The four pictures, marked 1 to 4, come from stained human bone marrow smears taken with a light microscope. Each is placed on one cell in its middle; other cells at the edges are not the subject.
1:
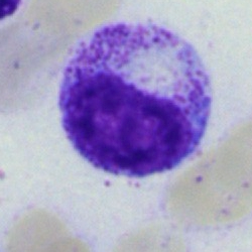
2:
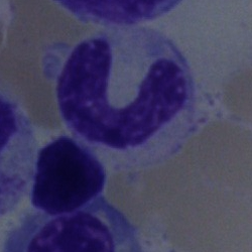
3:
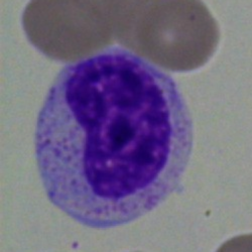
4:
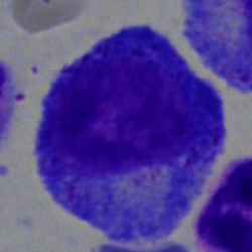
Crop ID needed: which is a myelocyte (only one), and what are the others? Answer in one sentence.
Centred in crop 1 is a myelocyte, while crop 2 is a band neutrophil, crop 3 is a metamyelocyte and crop 4 is a promyelocyte.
